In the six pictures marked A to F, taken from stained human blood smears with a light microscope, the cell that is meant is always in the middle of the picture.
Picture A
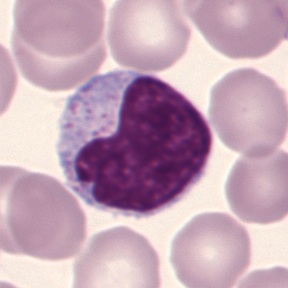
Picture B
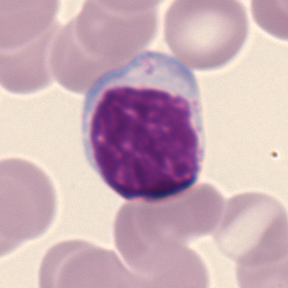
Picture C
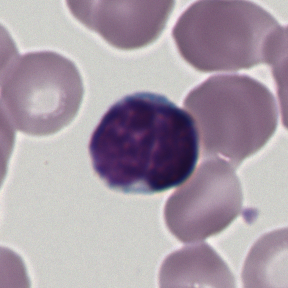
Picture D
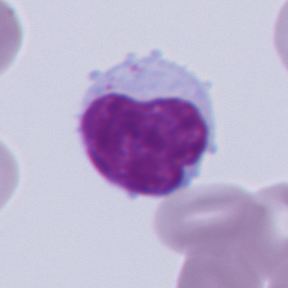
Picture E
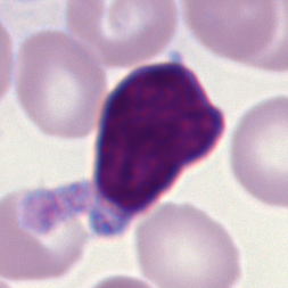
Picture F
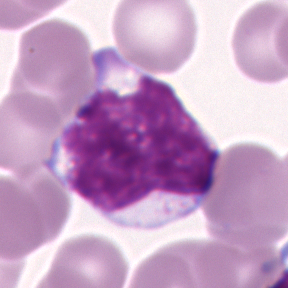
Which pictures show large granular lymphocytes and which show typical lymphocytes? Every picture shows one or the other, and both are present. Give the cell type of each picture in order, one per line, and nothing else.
large granular lymphocyte
large granular lymphocyte
typical lymphocyte
large granular lymphocyte
typical lymphocyte
large granular lymphocyte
